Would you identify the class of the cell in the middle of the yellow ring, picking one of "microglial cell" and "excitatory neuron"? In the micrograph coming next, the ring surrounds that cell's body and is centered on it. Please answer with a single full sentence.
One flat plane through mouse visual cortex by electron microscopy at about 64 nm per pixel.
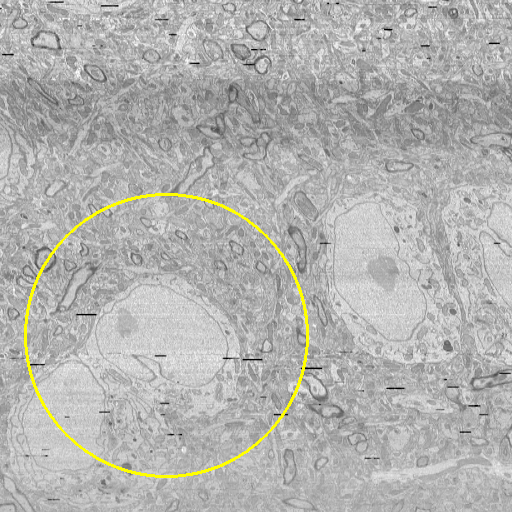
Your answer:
In the micrograph, it is an excitatory neuron whose body lies at the ring's center.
